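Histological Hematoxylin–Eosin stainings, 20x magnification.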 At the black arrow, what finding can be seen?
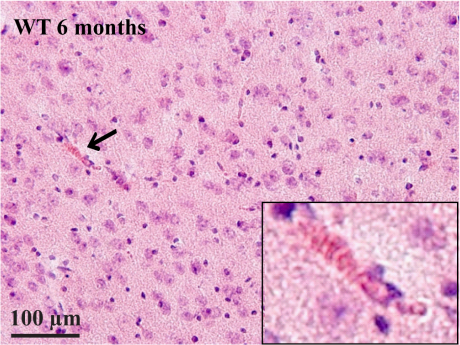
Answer: Erythrocyte accumulations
